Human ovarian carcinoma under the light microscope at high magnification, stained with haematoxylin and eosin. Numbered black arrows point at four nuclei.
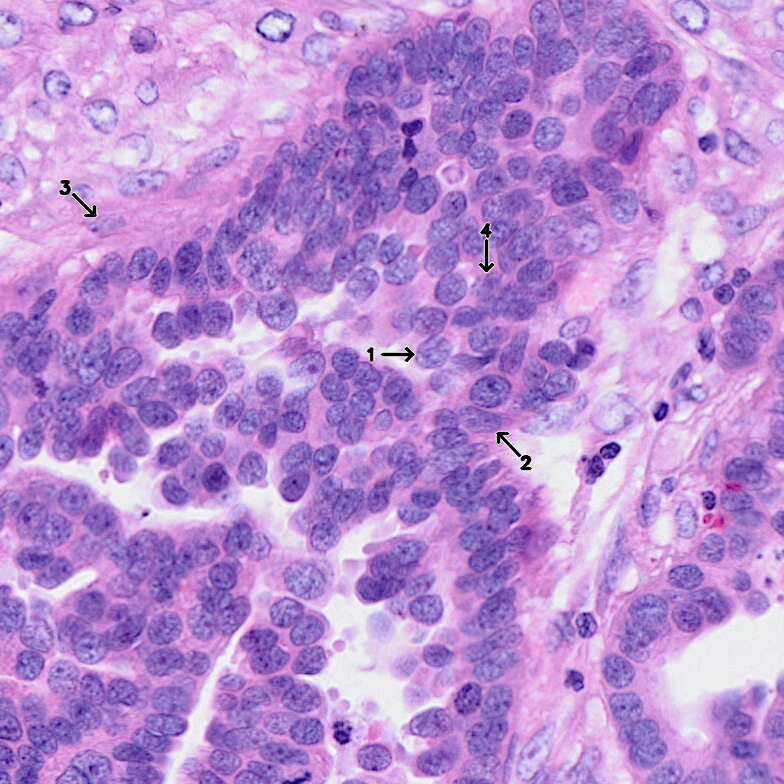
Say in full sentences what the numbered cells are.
Cell 1 is a carcinoma cell, cell 2 is a carcinoma cell, cell 3 is a fibroblast and cell 4 is a carcinoma cell.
